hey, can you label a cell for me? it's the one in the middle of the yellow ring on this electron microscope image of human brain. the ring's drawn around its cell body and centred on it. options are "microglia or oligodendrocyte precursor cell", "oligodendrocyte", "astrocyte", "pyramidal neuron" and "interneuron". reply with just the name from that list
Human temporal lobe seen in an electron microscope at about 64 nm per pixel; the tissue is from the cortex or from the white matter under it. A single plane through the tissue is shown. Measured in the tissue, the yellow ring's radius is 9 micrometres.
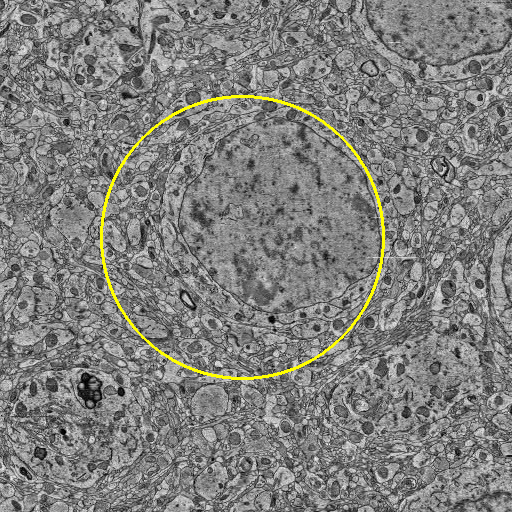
pyramidal neuron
